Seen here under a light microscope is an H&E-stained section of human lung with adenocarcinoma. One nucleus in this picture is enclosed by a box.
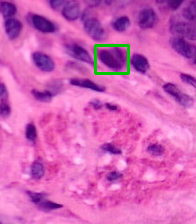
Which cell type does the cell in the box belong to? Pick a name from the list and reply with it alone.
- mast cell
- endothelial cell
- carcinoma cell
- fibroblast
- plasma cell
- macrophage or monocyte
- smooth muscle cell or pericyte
plasma cell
